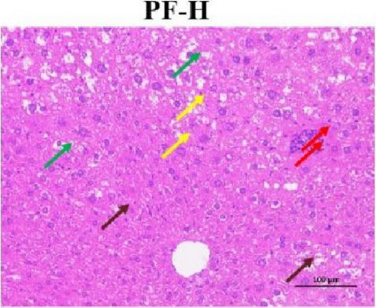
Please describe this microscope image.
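Liver parenchyma of polygonal hepatocytes with round central purple nuclei and pink cytoplasm surrounds a central vein. Many hepatocytes contain clear, unstained round vacuoles, and others have pale, bubbly cytoplasm. A small cluster of dark, small nuclei of infiltrating inflammatory cells lies among the hepatocytes.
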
